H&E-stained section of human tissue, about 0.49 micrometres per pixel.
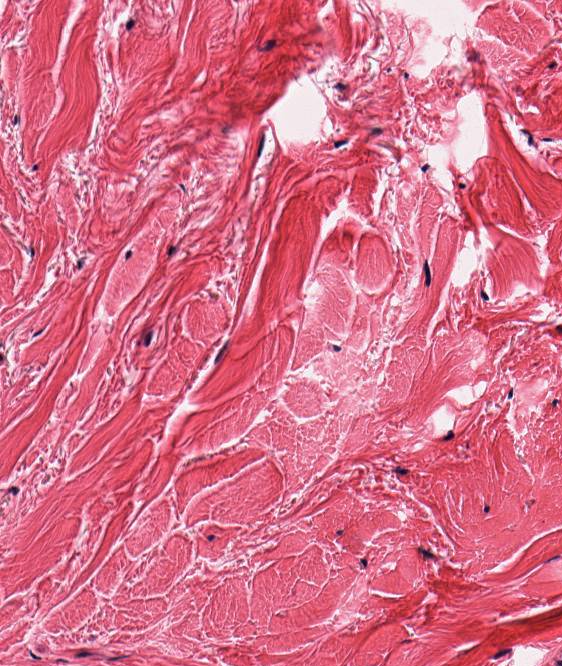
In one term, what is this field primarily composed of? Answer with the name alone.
dermis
